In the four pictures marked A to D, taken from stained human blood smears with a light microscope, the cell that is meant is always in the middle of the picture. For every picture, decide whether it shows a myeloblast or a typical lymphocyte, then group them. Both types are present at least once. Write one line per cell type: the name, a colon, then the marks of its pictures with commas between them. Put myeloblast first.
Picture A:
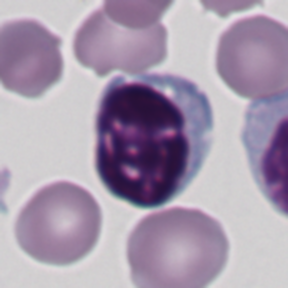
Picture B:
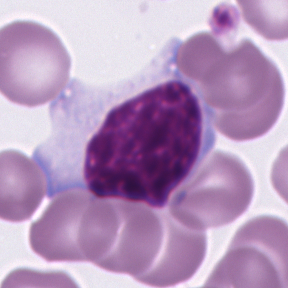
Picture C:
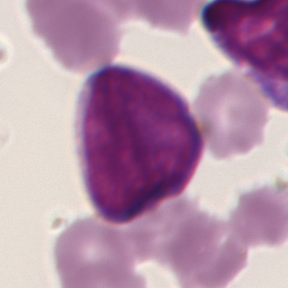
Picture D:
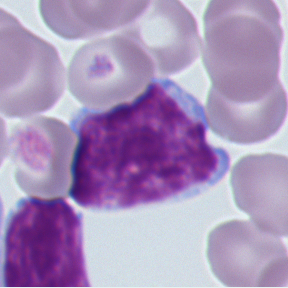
myeloblast: C
typical lymphocyte: A, B, D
